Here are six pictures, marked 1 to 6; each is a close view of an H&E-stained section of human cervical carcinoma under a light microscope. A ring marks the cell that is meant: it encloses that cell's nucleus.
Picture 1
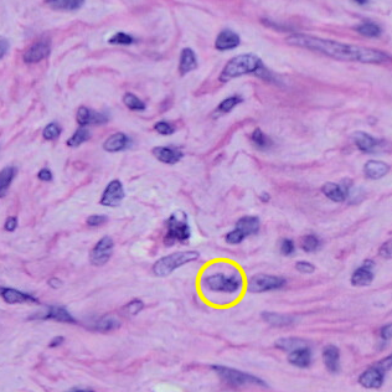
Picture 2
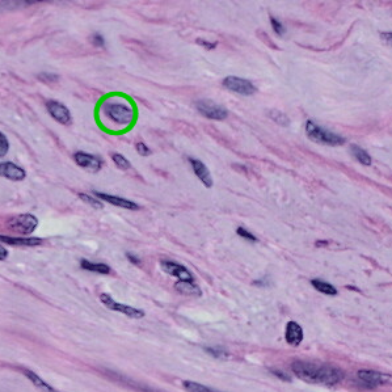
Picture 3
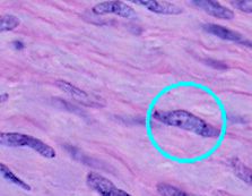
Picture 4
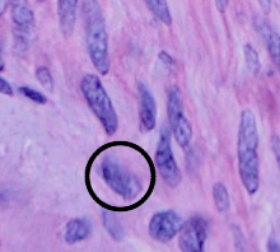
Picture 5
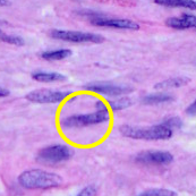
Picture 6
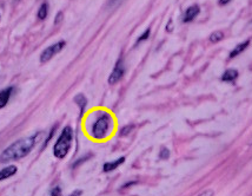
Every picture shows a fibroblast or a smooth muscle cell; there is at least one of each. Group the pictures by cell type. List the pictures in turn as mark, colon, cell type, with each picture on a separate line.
1: smooth muscle cell
2: smooth muscle cell
3: smooth muscle cell
4: fibroblast
5: fibroblast
6: smooth muscle cell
